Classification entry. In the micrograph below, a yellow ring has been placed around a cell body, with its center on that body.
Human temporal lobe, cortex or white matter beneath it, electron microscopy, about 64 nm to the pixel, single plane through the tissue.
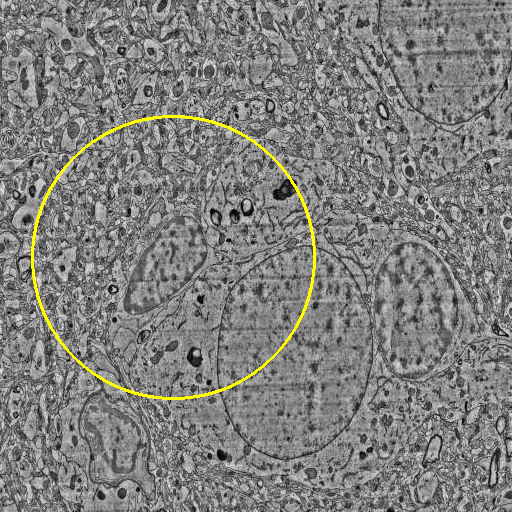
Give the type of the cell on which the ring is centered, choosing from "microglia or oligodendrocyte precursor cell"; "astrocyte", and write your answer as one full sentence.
The cell body at the center of the yellow ring belongs to a microglial cell or oligodendrocyte precursor cell.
